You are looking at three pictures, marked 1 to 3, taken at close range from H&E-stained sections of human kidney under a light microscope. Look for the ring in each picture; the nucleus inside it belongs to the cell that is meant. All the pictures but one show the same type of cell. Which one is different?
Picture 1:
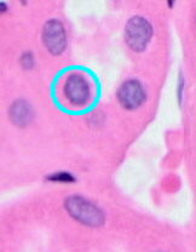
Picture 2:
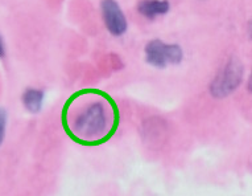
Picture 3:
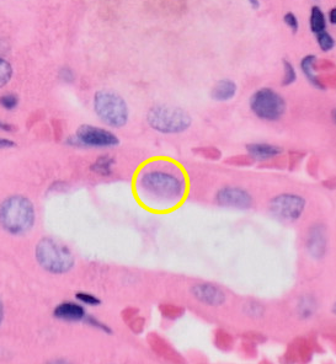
2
